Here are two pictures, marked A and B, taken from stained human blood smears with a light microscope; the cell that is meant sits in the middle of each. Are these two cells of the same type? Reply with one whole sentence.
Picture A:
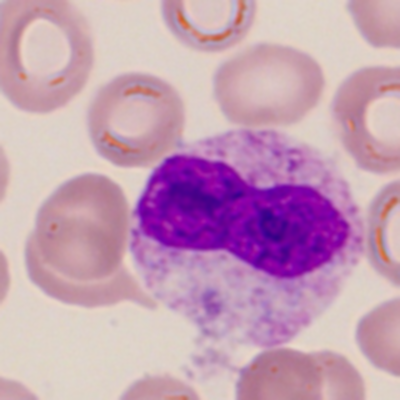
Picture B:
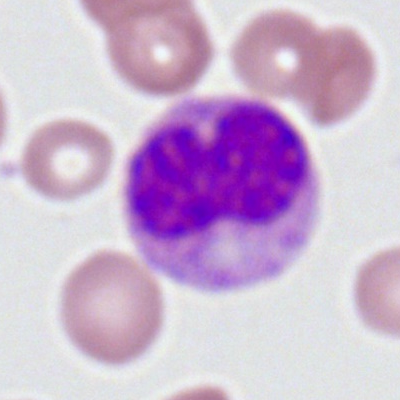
Yes, the two pictures both show band neutrophils.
